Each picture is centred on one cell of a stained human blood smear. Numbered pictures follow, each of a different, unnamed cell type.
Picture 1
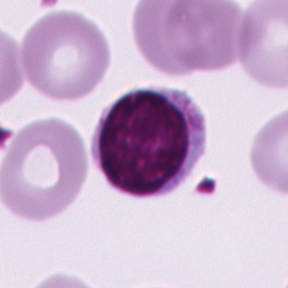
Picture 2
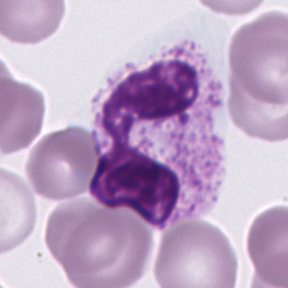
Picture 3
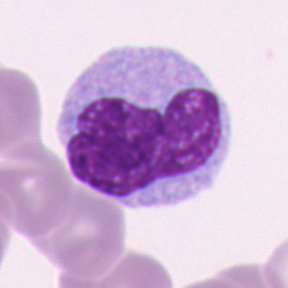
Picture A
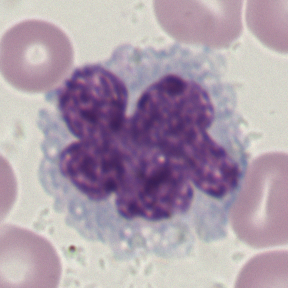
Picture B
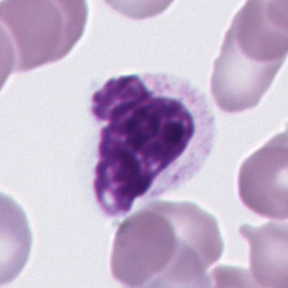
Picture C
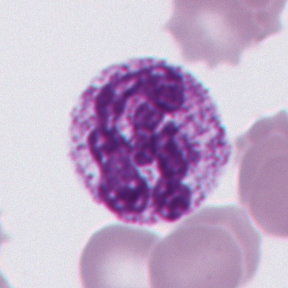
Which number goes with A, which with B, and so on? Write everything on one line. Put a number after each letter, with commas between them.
A 3, B 2, C 2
